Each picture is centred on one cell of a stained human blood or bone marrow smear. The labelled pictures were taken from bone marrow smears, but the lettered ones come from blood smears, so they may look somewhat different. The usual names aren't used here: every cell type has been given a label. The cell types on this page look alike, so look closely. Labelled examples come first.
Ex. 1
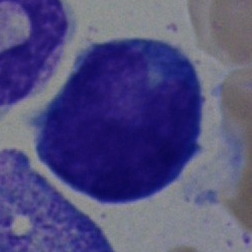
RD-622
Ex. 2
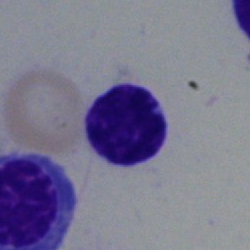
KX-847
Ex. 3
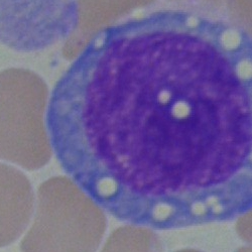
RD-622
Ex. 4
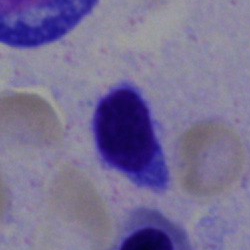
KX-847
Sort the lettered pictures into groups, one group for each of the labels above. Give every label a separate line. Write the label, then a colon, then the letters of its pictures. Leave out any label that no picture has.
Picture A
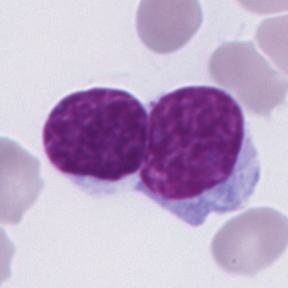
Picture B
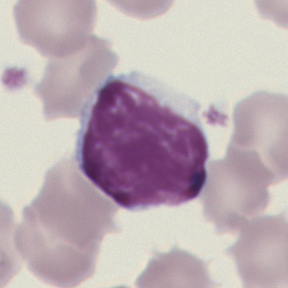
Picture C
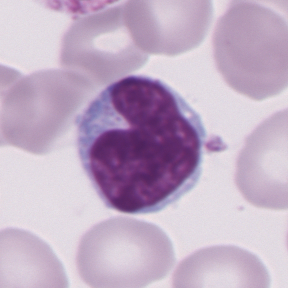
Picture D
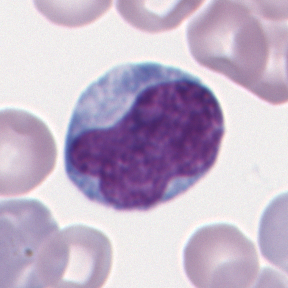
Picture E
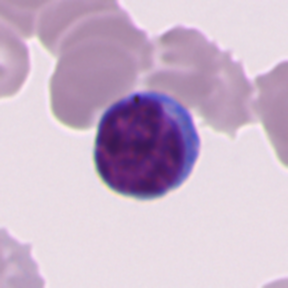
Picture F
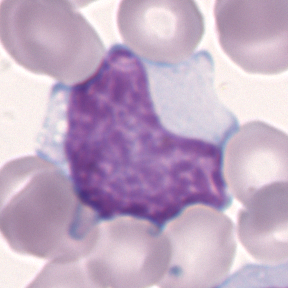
RD-622: A, D, F
KX-847: B, C, E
